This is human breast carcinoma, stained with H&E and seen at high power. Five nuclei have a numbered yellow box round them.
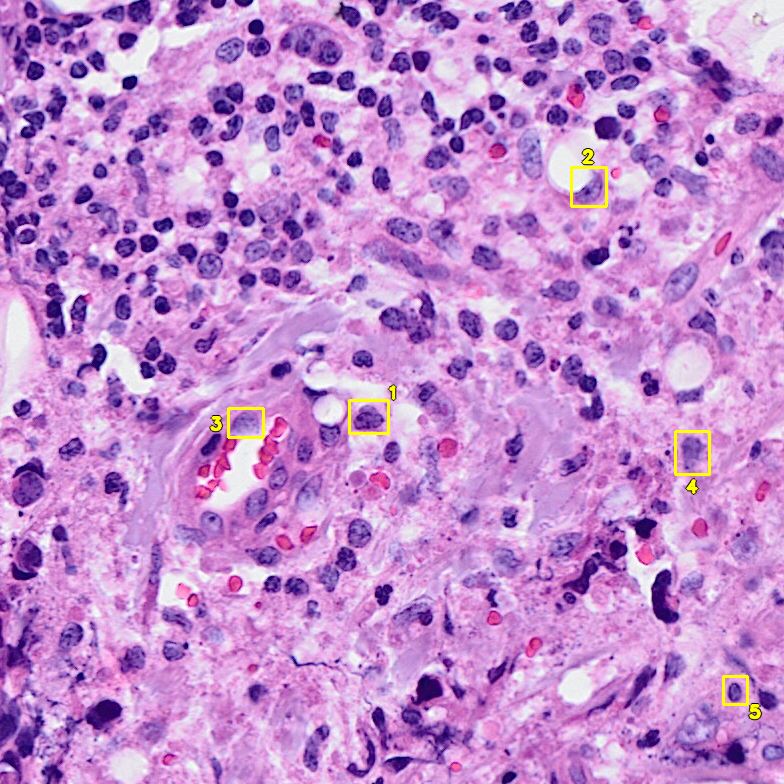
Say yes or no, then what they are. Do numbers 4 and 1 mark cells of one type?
Yes, among the marked cells, numbers 4 and 1 are both macrophages, monocytes or dendritic cells.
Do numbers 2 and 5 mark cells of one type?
No, while cell 2 is an endothelial cell, cell 5 is a mast cell.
